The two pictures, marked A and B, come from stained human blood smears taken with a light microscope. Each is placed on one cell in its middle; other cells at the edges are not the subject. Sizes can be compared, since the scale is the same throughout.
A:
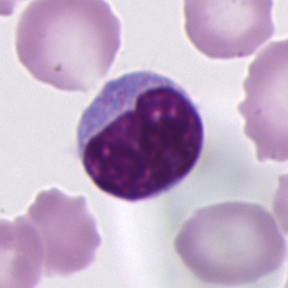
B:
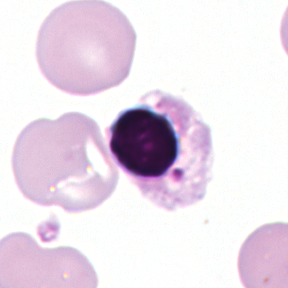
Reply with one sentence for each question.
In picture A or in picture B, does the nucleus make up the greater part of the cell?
Of the two, the nucleus in picture A makes up the greater part of its cell.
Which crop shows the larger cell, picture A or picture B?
It is the cell in picture A, about 1.5 times as large in area as the cell in picture B.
